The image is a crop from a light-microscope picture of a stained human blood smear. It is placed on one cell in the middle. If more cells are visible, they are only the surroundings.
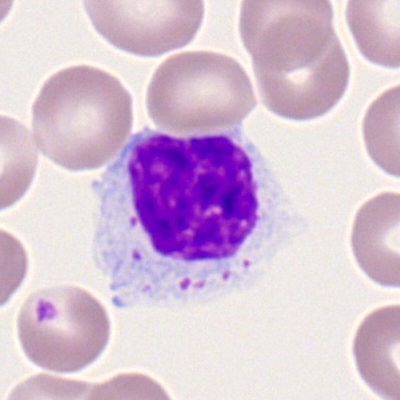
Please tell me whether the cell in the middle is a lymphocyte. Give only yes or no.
yes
